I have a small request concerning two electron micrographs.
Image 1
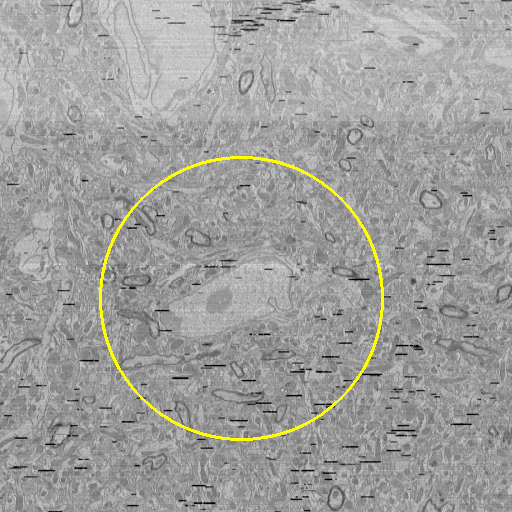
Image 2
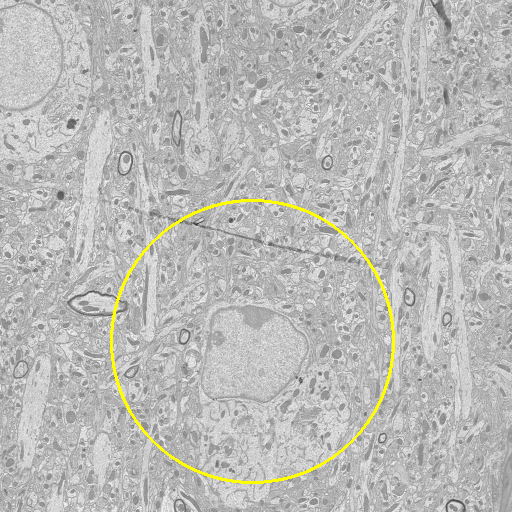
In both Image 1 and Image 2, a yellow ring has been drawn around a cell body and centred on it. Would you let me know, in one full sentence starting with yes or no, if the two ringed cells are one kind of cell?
Yes, the cells ringed in Image 1 and Image 2 are one kind of cell.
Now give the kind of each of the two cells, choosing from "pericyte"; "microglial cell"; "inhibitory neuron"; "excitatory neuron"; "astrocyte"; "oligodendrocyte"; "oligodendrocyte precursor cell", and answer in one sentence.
Both the first and the second picture show an oligodendrocyte precursor cell in the ring.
